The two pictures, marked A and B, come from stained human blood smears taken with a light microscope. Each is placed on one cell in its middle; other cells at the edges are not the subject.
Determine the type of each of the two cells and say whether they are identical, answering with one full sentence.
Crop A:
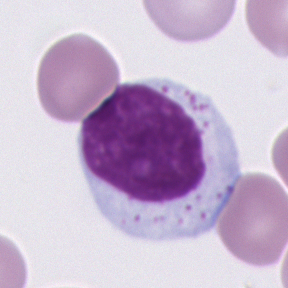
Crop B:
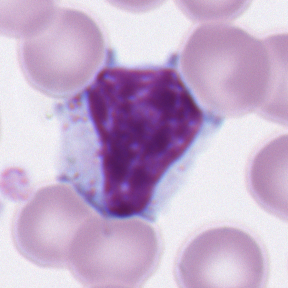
Yes, in both crops, large granular lymphocytes are the cells at the middle.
